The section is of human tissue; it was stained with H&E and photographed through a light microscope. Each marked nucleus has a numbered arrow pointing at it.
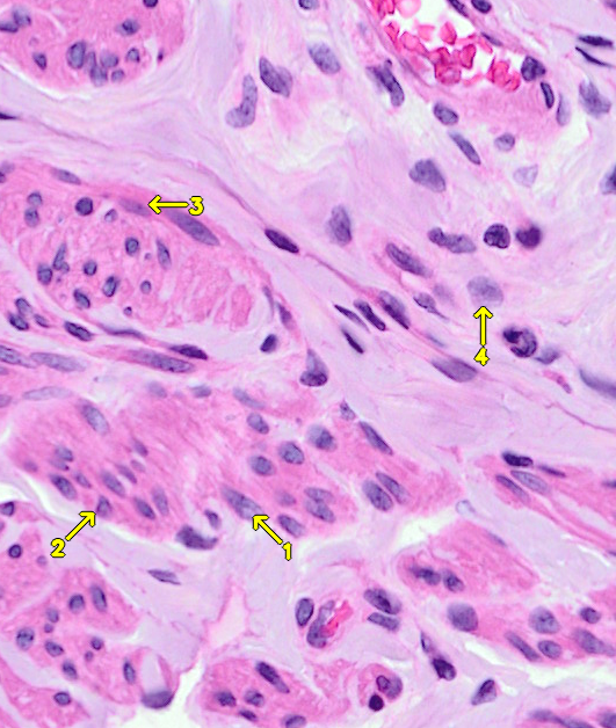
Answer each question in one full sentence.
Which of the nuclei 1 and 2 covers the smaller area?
Number 2 is smaller, since number 1 takes up about 3 times as much area.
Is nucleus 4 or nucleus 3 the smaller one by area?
Nucleus 3 is the smaller one; nucleus 4 covers about 3 times its area.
